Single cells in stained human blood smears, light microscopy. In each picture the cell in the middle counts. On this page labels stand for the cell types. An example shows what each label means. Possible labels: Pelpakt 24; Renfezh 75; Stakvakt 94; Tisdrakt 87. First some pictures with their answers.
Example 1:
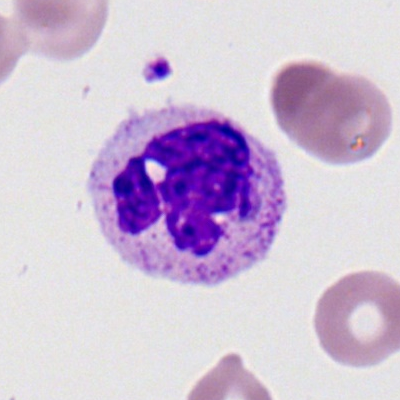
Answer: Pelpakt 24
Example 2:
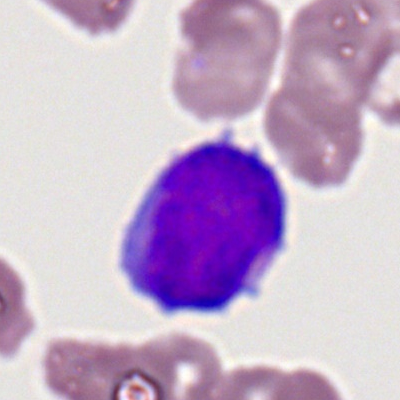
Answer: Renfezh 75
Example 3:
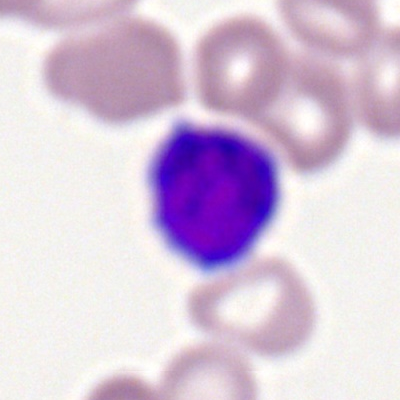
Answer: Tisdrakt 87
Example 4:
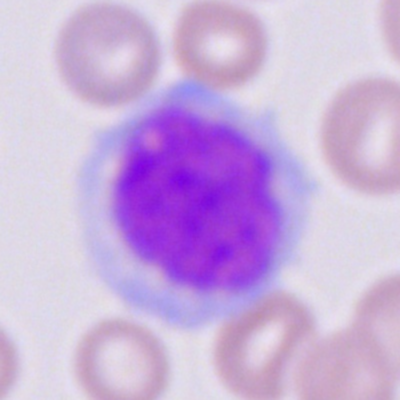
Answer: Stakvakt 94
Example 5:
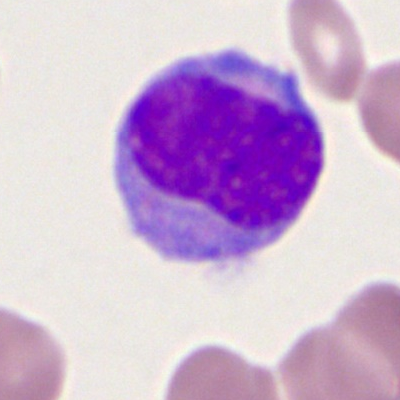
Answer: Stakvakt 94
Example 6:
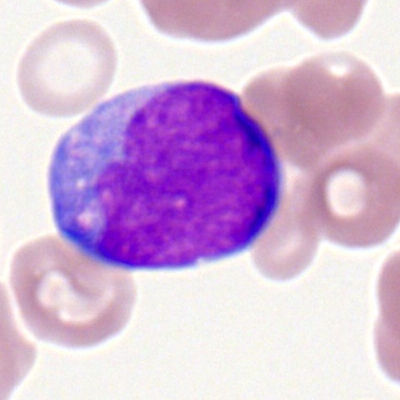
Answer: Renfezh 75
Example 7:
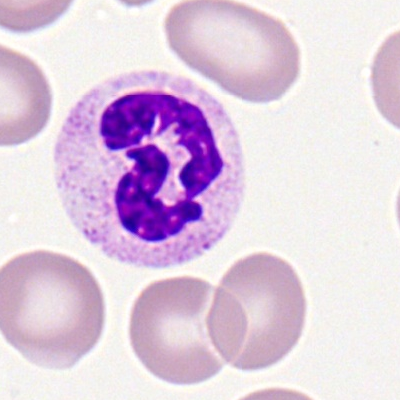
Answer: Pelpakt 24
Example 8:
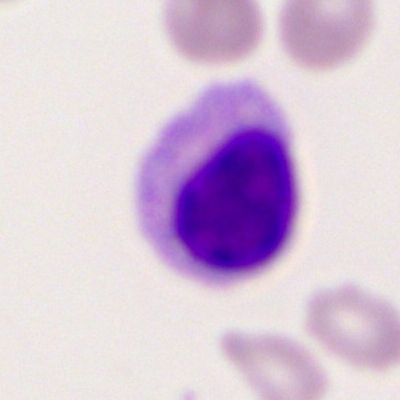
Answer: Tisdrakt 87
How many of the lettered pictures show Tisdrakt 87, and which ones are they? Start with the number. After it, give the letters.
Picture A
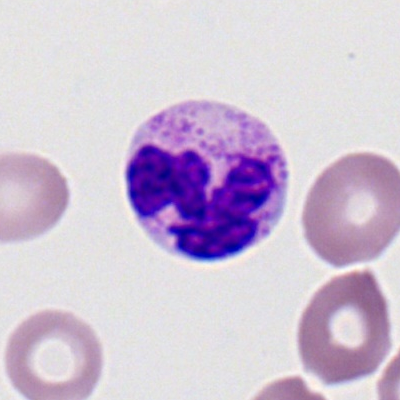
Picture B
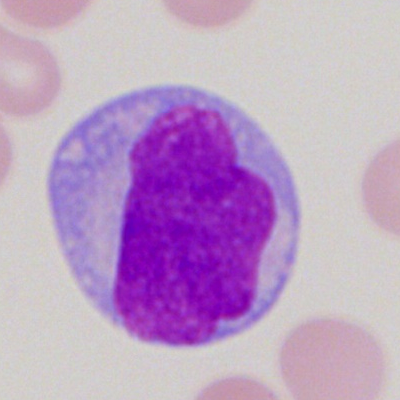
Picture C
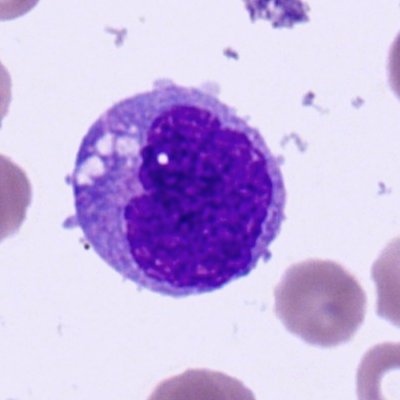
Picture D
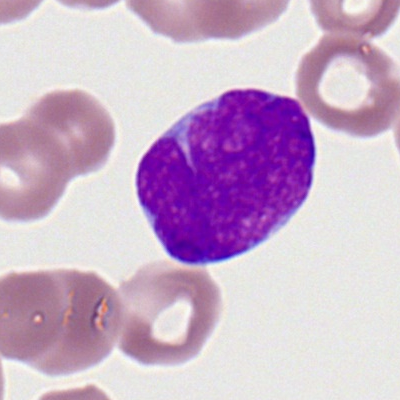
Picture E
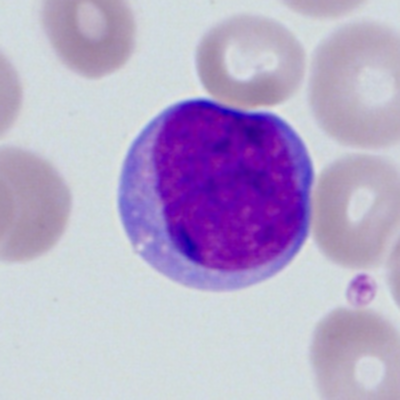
0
